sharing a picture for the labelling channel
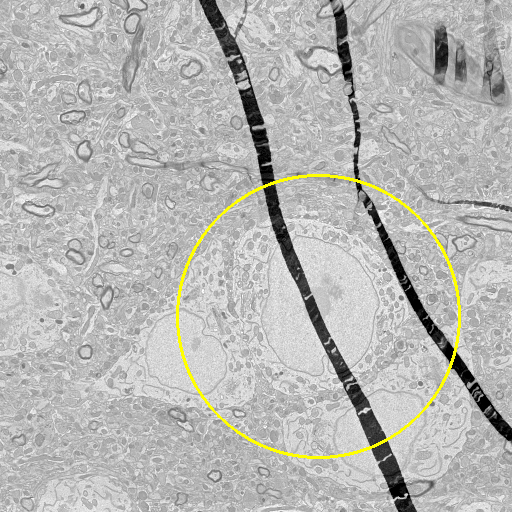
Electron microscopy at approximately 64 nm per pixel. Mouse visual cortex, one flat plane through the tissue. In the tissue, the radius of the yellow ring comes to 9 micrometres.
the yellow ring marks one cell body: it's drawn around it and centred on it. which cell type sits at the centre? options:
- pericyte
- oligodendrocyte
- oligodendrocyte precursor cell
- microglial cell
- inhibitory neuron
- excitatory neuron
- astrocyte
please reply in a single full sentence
In the picture, the cell at the ring's centre is an inhibitory neuron, going by the list.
